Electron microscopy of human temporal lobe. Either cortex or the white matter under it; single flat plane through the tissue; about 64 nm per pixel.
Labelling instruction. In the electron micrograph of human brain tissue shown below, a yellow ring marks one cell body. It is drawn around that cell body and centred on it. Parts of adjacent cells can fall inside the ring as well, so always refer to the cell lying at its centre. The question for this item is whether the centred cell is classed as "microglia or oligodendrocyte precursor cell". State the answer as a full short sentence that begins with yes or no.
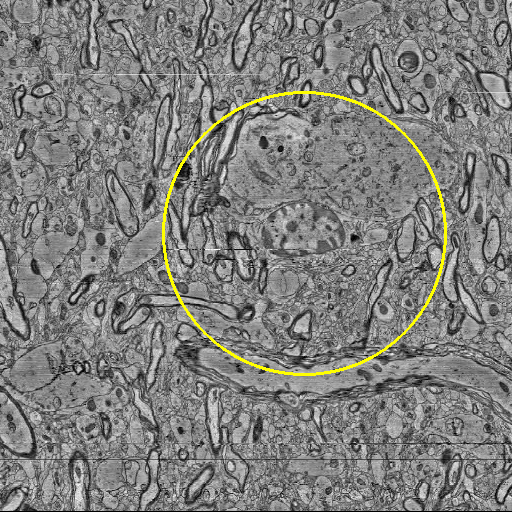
Yes, the centred cell is of that class.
